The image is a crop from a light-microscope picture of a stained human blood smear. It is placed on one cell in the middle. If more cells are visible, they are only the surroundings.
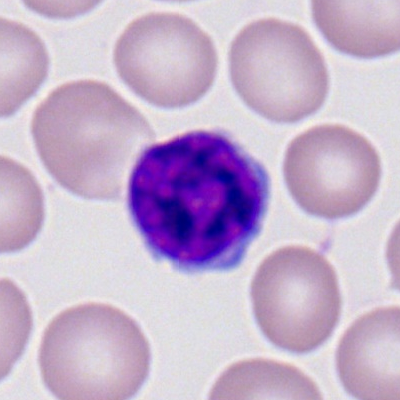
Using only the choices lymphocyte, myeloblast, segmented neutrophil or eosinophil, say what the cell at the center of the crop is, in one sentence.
The cell of interest, in the center, is a lymphocyte.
